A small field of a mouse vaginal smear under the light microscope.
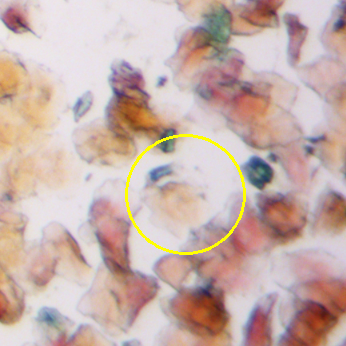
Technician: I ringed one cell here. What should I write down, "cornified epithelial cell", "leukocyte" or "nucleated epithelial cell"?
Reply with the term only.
cornified epithelial cell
